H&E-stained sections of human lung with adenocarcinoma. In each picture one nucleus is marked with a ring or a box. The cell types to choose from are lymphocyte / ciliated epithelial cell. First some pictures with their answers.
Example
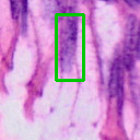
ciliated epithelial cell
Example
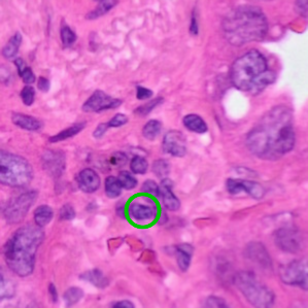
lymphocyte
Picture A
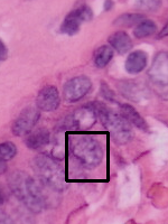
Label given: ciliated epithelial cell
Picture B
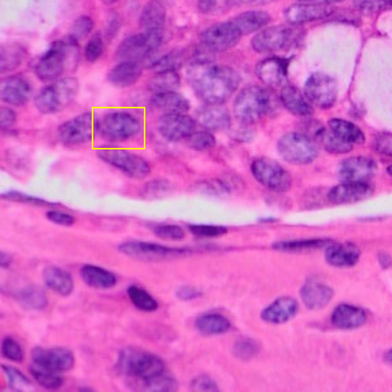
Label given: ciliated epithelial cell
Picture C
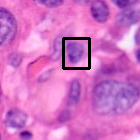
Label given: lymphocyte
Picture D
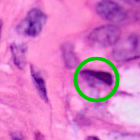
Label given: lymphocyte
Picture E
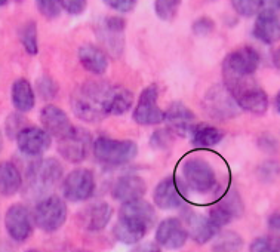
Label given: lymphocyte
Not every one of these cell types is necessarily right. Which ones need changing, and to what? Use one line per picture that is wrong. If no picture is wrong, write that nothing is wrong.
Wrong: D (lymphocyte); correct: ciliated epithelial cell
